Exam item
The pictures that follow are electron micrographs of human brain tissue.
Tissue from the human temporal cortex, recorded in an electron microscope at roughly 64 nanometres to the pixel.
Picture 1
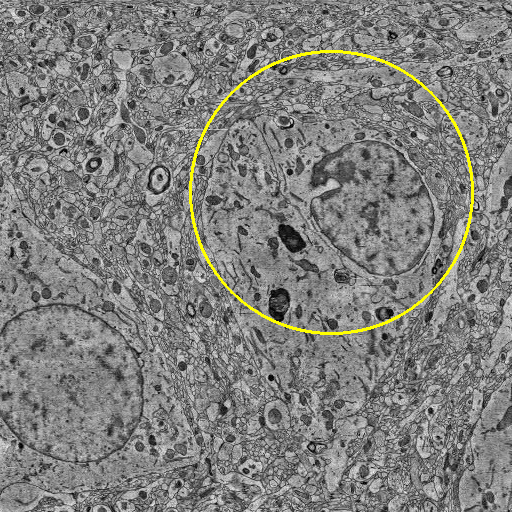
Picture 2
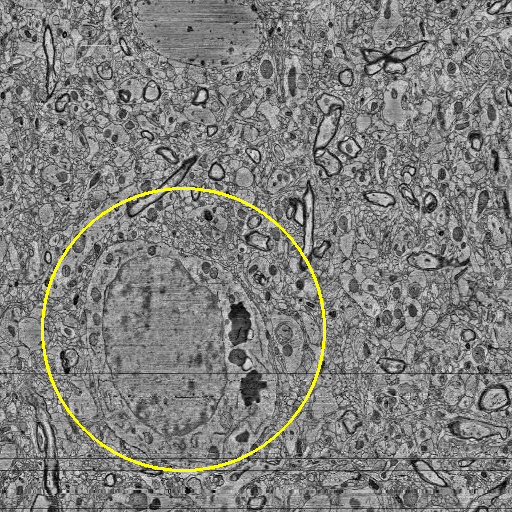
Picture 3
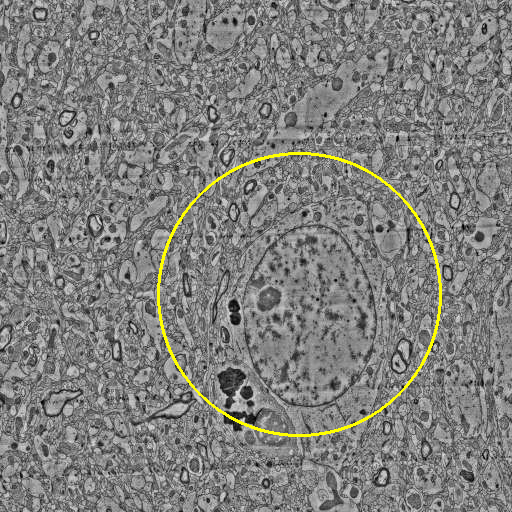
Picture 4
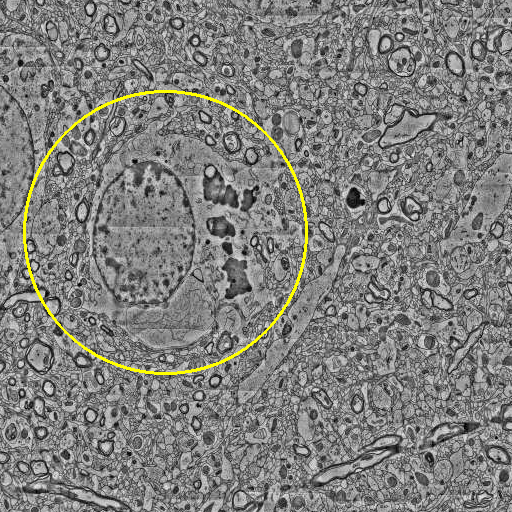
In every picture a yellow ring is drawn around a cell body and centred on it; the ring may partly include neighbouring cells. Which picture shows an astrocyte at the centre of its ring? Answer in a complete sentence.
The cell at the centre of the ring in Picture 4 is the one asked for.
